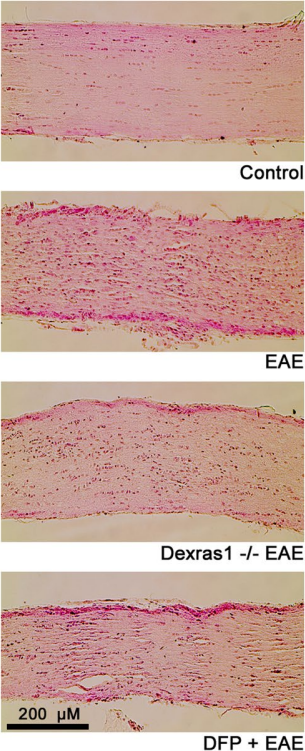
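In the top strip only a few small dark nuclei are scattered thinly and evenly among the fibres. In the three strips beneath, many more dark purple nuclei are spread through the nerve, giving it a speckled look that is not seen in the top strip.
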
